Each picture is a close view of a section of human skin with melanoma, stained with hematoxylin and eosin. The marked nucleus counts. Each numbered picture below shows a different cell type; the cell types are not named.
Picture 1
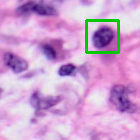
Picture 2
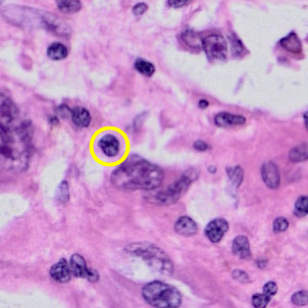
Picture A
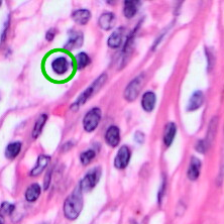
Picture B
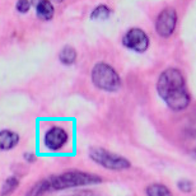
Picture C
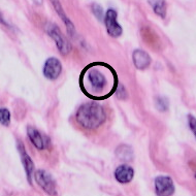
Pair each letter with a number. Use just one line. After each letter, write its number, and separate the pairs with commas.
A 2, B 2, C 2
